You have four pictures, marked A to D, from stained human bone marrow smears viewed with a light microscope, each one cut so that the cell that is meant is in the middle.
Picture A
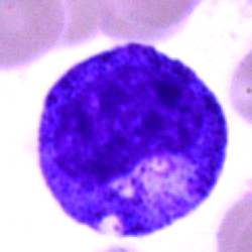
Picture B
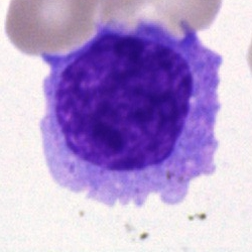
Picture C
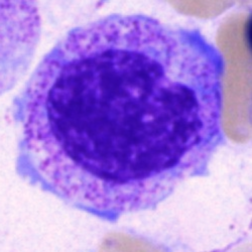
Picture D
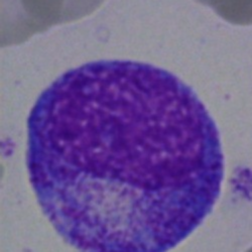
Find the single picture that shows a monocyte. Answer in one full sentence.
The cell in picture B is the monocyte.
